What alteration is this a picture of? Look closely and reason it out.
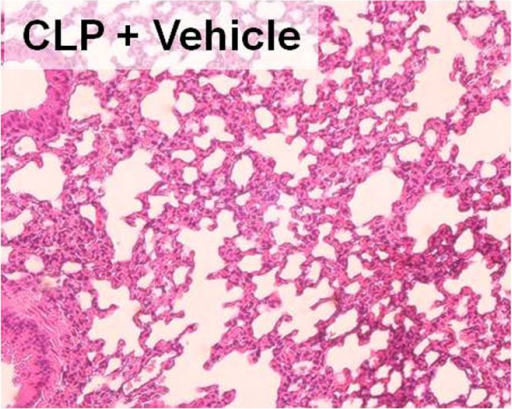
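Septa between air spaces are broad and densely cellular. Air spaces are smaller and fewer than in a normal lacy lung. Some areas are solid sheets of nuclei with little air space. On this evidence: alveolar wall thickening.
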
